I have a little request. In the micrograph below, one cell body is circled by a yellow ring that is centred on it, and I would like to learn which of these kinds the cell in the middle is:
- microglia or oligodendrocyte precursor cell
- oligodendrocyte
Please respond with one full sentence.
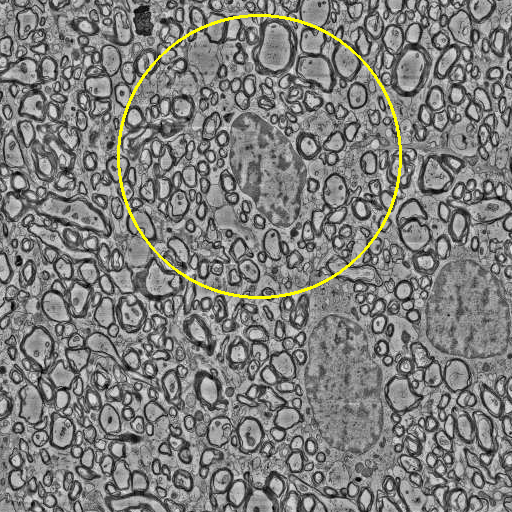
The cell sitting in the middle of the yellow ring in the micrograph is a microglial cell or oligodendrocyte precursor cell.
